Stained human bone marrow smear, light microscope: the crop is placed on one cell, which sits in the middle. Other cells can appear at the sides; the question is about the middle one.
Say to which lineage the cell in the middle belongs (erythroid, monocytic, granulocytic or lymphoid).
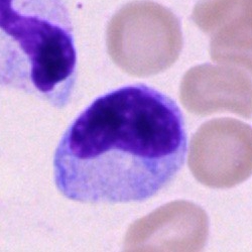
granulocytic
